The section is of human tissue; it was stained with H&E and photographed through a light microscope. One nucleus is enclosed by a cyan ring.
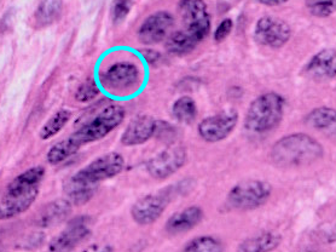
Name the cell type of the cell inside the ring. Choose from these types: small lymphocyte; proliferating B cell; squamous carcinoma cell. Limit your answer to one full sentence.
In this section of tissue, the cell inside the ring is a squamous carcinoma cell.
